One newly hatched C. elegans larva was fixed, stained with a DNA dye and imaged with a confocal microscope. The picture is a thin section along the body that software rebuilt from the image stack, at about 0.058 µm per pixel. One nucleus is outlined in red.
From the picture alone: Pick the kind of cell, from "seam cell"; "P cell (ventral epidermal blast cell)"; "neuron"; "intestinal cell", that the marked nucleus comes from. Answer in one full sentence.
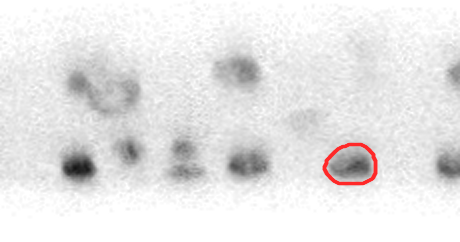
What is marked is the nucleus of a P cell (ventral epidermal blast cell).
